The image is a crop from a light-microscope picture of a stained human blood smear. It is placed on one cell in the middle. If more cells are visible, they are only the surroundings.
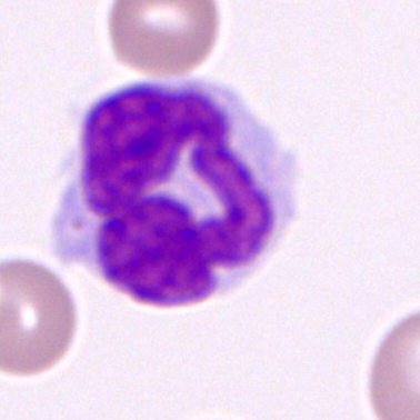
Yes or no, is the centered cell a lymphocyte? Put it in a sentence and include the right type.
No, it is not a lymphocyte that lies in the middle but a monocyte.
